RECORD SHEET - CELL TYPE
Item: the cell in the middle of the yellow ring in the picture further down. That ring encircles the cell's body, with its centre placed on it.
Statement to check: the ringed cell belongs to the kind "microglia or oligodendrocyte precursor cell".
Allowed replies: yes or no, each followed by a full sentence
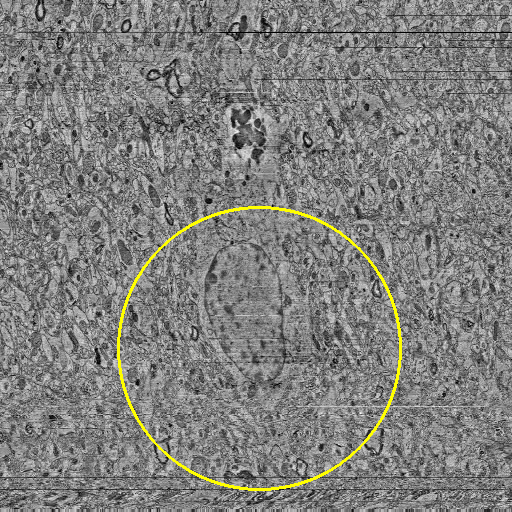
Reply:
No, the cell held at the centre of the ring in the picture is of a different kind.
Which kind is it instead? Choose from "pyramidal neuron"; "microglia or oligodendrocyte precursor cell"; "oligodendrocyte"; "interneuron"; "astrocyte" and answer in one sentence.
As it turns out, the cell at the ring centre is an astrocyte.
